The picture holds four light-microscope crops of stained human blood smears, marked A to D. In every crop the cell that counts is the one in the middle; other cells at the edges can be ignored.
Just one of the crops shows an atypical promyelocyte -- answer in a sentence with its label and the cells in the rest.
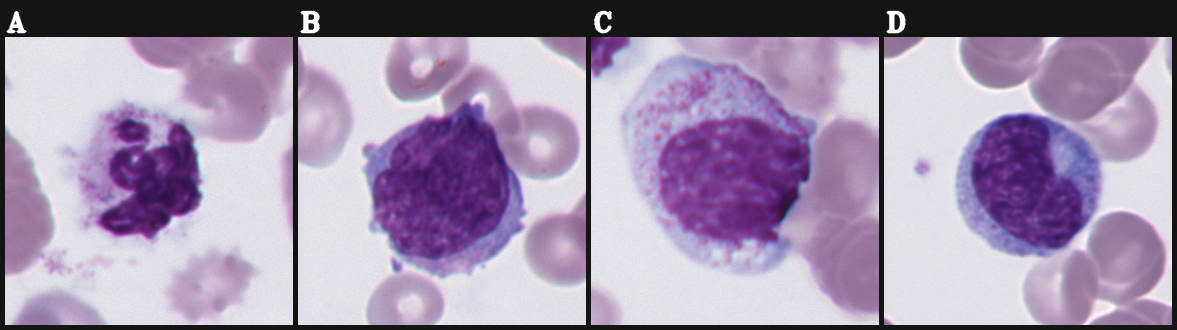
For crop B the cell is an atypical promyelocyte, while crop A is a segmented neutrophil, crop C is a myelocyte and crop D is a monocyte.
